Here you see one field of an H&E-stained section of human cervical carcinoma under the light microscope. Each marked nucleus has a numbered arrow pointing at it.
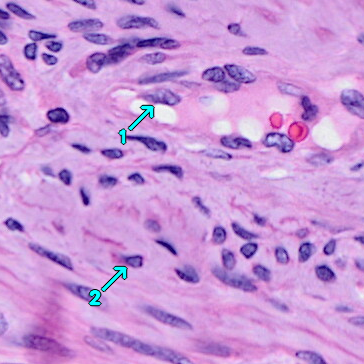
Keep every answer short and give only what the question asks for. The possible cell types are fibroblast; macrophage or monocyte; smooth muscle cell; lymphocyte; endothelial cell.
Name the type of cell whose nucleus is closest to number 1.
fibroblast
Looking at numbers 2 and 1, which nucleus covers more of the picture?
1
